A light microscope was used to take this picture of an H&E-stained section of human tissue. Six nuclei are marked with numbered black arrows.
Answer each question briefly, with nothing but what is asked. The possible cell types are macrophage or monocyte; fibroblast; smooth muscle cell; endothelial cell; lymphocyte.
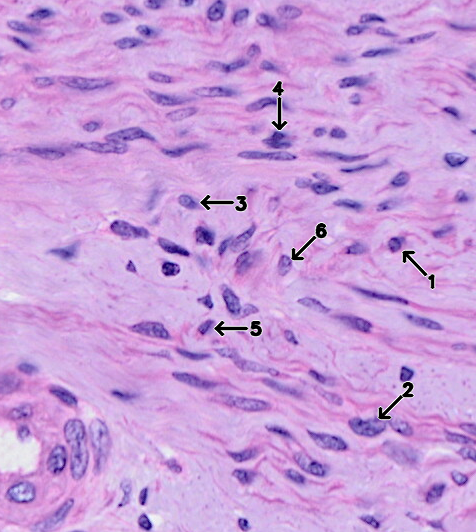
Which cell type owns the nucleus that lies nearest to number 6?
smooth muscle cell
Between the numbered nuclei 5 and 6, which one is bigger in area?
6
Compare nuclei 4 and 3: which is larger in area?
4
